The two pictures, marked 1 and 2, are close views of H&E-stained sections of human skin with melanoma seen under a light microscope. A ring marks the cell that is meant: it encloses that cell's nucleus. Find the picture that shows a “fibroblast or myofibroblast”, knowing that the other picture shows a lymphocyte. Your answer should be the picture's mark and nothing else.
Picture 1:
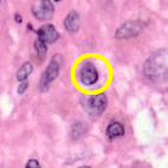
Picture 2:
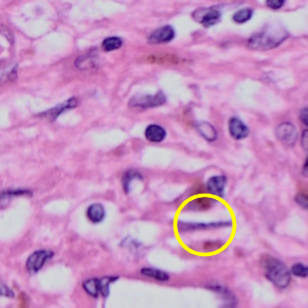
2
